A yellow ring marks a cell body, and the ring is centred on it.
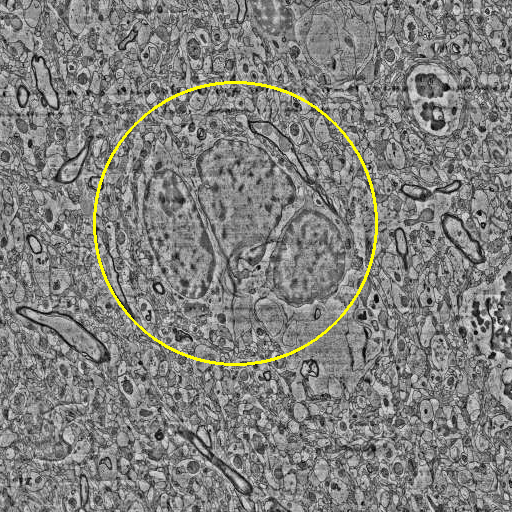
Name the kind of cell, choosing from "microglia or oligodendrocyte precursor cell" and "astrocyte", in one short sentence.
The marked cell body belongs to a microglial cell or oligodendrocyte precursor cell.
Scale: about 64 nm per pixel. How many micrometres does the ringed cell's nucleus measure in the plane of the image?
Roughly 8 by 6 micrometres is the size of the nucleus in this plane.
